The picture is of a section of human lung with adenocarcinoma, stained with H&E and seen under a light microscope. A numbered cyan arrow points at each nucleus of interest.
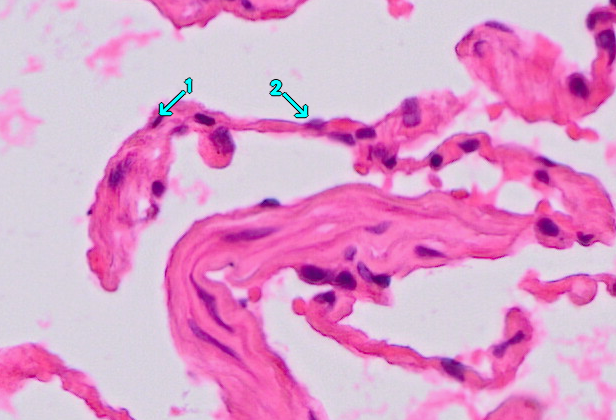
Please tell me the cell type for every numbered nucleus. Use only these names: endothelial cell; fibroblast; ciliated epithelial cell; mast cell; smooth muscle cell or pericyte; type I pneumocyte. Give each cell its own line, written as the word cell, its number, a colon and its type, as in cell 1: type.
cell 1: endothelial cell
cell 2: type I pneumocyte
